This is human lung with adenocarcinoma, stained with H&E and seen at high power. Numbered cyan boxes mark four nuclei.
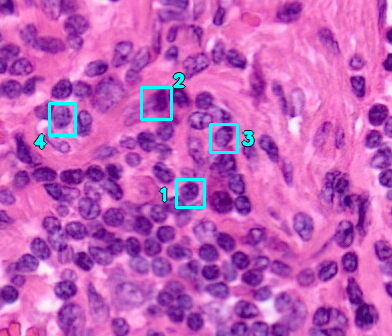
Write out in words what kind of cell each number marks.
Cells 1, 3 and 4 are lymphocytes. Cell 2 is a plasma cell.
